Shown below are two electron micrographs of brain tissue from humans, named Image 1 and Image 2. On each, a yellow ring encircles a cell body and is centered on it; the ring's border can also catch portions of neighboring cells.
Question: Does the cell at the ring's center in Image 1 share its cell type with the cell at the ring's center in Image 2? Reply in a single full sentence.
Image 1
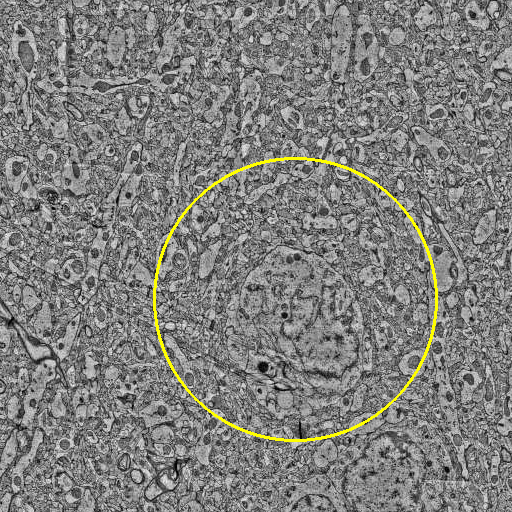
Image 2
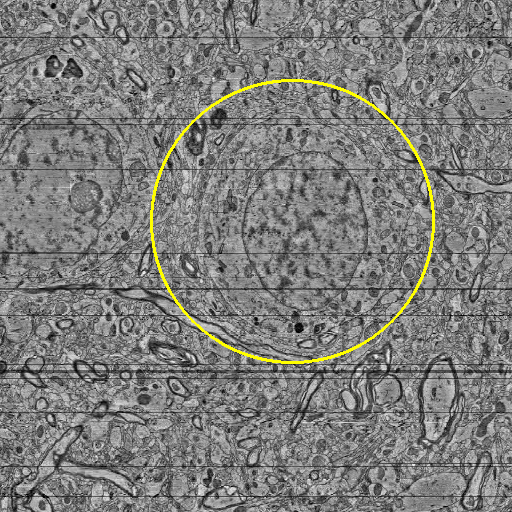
Yes, the two cells at the ring centers, in Image 1 and Image 2, share one cell type.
